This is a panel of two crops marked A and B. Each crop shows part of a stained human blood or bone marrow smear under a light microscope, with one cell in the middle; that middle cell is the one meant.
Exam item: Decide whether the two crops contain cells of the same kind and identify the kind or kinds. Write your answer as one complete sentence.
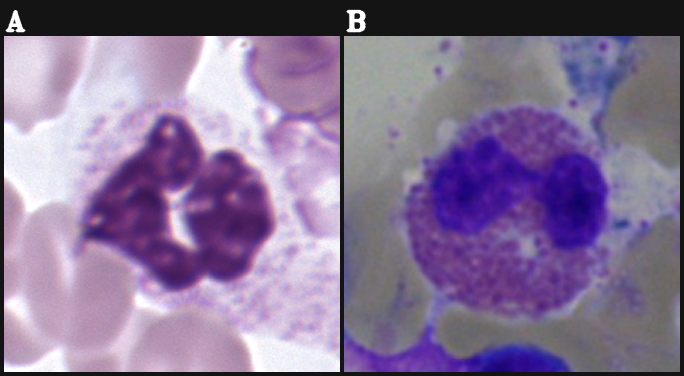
No, crop A presents a segmented neutrophil; crop B presents an eosinophil.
